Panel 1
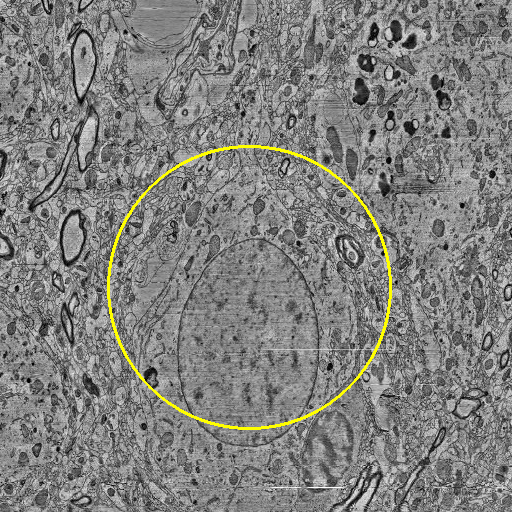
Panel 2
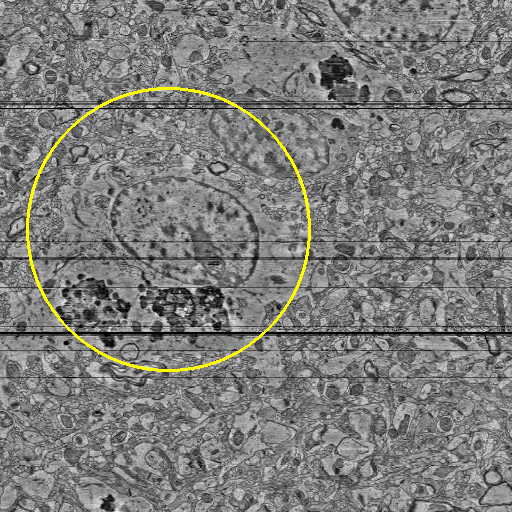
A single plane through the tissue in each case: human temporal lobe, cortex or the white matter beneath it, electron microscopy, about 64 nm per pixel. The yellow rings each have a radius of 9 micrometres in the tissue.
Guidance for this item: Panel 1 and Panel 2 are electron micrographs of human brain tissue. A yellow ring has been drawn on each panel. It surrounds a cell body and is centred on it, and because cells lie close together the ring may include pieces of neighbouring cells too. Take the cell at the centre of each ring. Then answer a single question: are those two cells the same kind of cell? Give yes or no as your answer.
no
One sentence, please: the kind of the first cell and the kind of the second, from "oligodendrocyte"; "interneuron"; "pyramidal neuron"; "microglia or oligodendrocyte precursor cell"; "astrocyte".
The ring in the first picture surrounds a pyramidal neuron, and the ring in the second surrounds an astrocyte.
